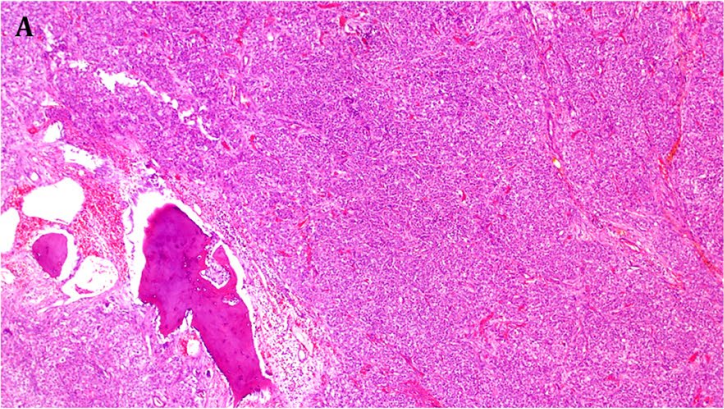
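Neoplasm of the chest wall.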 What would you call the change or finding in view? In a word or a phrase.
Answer: Invading the adjacent bone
